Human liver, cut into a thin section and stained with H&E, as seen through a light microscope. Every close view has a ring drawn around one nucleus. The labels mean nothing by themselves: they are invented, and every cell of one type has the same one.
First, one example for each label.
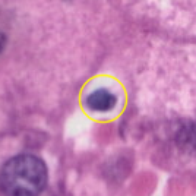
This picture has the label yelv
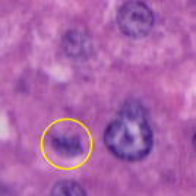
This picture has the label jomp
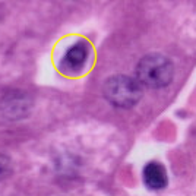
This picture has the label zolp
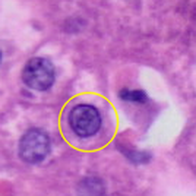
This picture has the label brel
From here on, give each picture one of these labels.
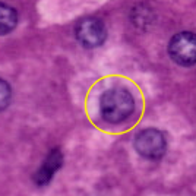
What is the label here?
brel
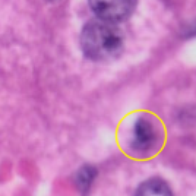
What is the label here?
jomp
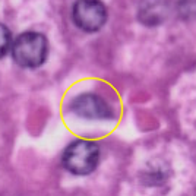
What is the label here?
zolp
